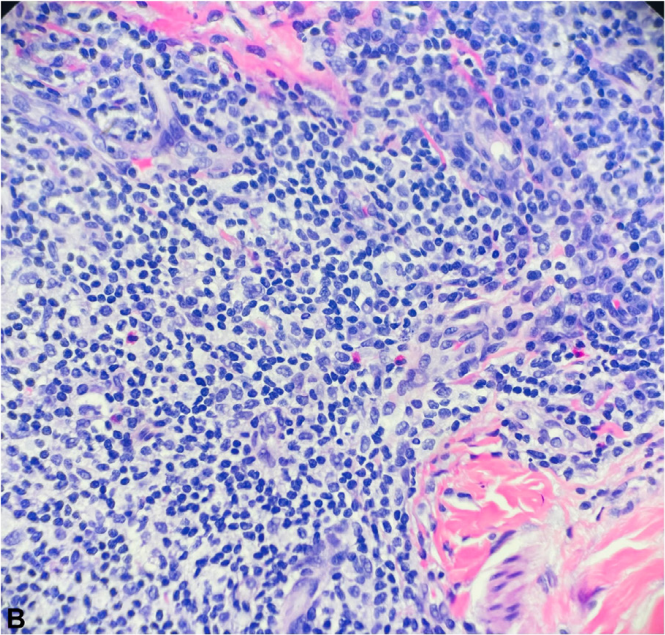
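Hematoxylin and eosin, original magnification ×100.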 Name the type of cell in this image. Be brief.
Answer: Lymphocytes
